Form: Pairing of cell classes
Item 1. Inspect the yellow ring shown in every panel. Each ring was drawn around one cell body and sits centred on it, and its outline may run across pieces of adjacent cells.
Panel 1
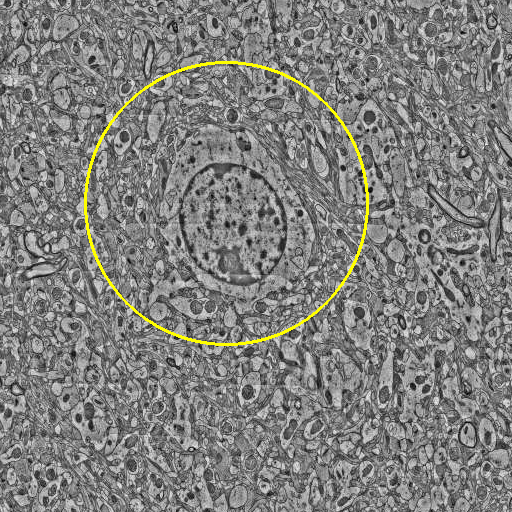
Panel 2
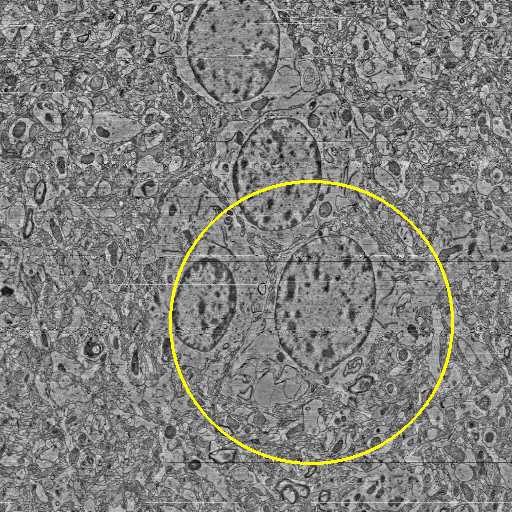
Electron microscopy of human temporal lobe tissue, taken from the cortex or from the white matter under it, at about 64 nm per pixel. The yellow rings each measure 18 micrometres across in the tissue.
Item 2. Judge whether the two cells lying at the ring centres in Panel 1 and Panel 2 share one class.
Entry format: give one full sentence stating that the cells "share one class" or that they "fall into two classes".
The cells at the ring centres in Panel 1 and Panel 2 share one class.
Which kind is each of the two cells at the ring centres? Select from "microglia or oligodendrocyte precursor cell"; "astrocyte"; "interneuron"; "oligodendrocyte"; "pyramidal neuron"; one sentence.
Each of the two rings is centred on an astrocyte.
